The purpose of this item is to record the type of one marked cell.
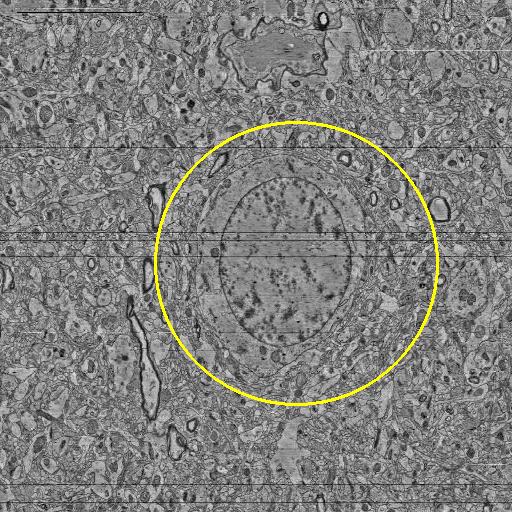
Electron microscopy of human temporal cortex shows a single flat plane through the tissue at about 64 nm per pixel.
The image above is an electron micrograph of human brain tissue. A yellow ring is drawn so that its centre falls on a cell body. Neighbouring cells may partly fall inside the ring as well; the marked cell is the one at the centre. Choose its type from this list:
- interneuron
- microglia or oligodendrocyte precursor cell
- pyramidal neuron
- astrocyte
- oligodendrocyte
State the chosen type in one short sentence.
What the ring marks here is a pyramidal neuron.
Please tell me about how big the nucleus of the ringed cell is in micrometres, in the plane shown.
About 11 micrometres by about 8 micrometres in this plane.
